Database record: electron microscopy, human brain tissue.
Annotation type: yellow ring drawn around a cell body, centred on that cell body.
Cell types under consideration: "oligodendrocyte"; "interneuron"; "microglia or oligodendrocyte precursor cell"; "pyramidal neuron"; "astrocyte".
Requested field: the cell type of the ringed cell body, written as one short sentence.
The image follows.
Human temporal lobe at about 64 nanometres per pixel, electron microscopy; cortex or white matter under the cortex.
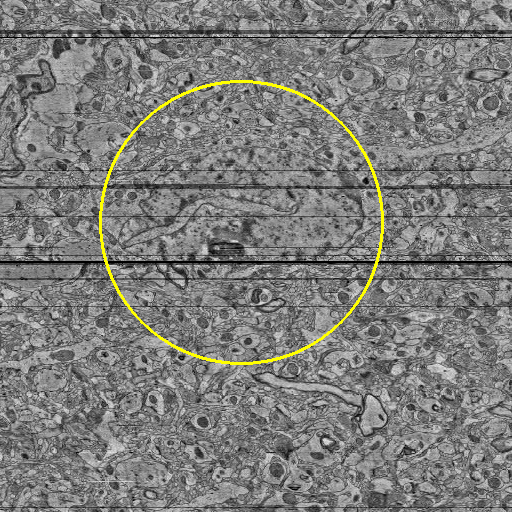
The ringed cell body represents an interneuron.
